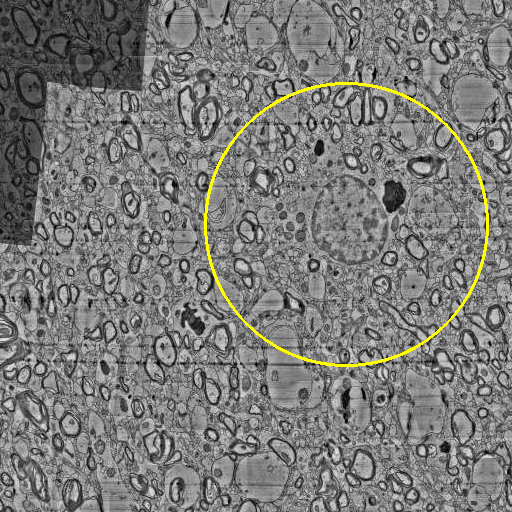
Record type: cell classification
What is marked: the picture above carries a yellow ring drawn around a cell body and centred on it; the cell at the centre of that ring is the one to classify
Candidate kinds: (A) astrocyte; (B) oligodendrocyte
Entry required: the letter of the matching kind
B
